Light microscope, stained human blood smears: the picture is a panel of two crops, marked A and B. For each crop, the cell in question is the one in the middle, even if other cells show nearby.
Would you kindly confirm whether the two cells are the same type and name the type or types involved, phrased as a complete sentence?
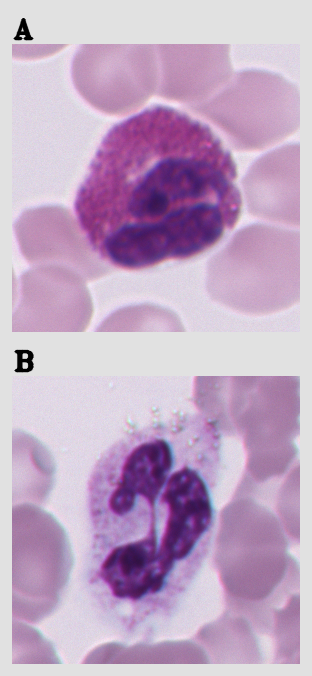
No, crop A carries an eosinophil and crop B carries a neutrophil.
